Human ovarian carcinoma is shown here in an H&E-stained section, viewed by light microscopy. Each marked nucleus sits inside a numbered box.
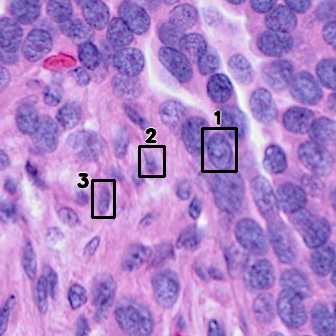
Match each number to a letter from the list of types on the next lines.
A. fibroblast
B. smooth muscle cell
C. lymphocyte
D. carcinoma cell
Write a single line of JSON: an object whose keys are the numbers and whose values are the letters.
{"1": "D", "2": "A", "3": "A"}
